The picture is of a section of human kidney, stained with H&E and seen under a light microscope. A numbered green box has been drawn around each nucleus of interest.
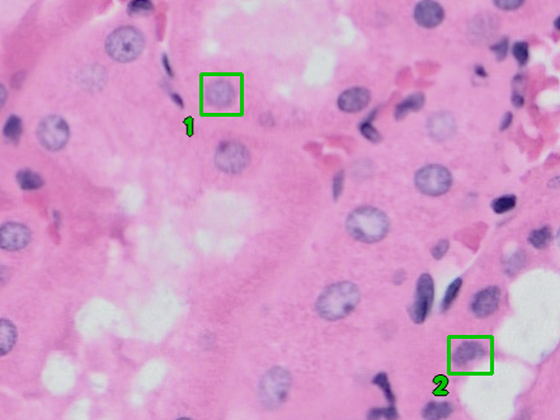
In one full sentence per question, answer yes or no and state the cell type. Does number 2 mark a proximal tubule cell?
No, the identification of cell 2 as a proximal tubule cell is incorrect; it is a loop of Henle or distal tubule cell.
